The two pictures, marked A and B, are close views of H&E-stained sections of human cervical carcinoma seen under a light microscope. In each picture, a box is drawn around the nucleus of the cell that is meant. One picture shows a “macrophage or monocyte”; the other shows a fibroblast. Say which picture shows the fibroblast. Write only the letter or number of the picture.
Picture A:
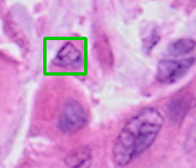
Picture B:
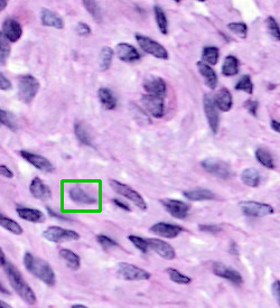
B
